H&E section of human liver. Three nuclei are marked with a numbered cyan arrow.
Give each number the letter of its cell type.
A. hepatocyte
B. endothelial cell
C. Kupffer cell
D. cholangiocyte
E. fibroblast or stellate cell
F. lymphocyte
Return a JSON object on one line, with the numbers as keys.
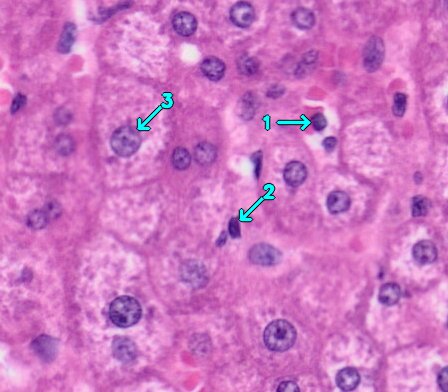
{"1": "F", "2": "E", "3": "A"}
